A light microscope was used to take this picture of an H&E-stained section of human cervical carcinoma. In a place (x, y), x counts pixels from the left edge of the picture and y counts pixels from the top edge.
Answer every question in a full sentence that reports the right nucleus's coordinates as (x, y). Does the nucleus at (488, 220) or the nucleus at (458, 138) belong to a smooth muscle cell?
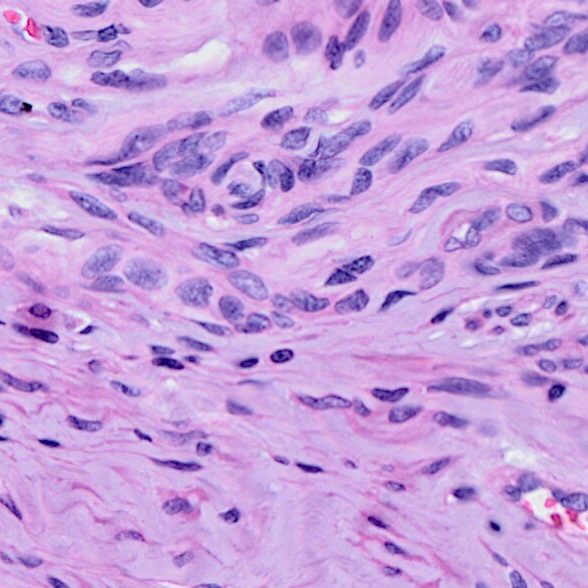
Among the two nuclei, the one found at (458, 138) belongs to a smooth muscle cell.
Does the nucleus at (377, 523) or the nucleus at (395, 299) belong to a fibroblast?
The nucleus at (395, 299) is contained in a fibroblast.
